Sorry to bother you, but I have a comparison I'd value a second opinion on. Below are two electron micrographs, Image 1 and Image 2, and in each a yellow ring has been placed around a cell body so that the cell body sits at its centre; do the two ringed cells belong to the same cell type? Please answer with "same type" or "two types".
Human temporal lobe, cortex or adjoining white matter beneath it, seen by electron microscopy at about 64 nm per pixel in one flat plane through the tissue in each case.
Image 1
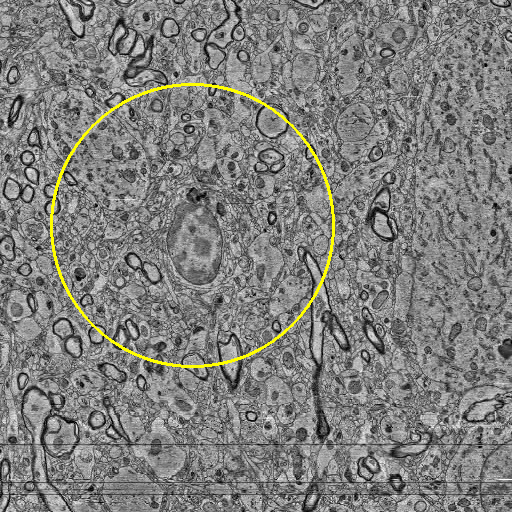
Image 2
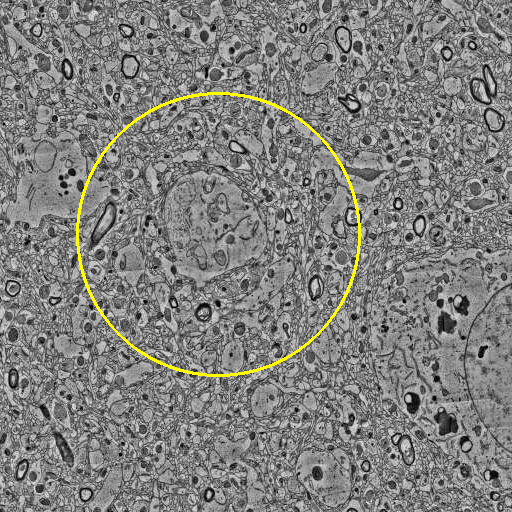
two types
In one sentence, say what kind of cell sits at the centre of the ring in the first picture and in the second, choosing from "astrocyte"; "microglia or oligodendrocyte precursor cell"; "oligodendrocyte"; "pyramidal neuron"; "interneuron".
The first picture's ringed cell is a microglial cell or oligodendrocyte precursor cell, while the second picture's is an astrocyte.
